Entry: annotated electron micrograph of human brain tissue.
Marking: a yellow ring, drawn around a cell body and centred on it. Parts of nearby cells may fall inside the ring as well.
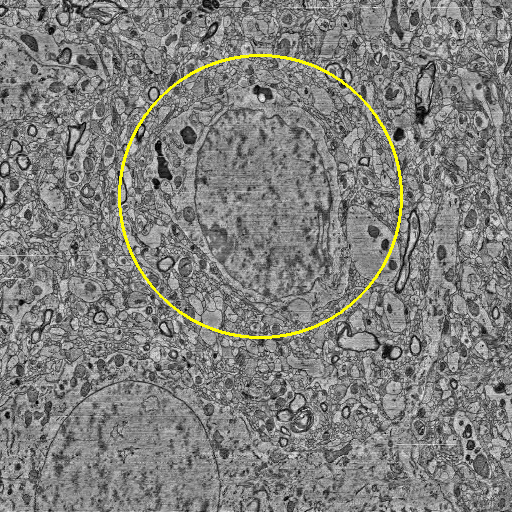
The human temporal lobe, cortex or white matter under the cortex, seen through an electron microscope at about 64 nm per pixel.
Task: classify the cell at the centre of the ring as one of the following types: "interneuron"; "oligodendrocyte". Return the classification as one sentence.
The marked cell is classified as an interneuron.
